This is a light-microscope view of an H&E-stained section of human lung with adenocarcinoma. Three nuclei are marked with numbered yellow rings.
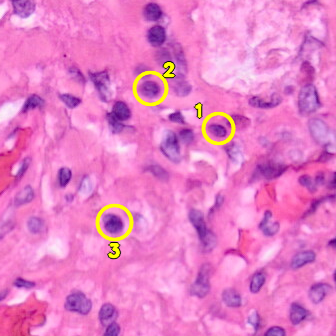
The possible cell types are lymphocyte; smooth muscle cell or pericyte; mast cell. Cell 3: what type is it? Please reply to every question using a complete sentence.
Number 3 is placed on a lymphocyte here.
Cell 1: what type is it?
The cell indicated by marker 1 is a mast cell in this section.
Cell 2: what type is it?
The cell pointed out by number 2 is a lymphocyte.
